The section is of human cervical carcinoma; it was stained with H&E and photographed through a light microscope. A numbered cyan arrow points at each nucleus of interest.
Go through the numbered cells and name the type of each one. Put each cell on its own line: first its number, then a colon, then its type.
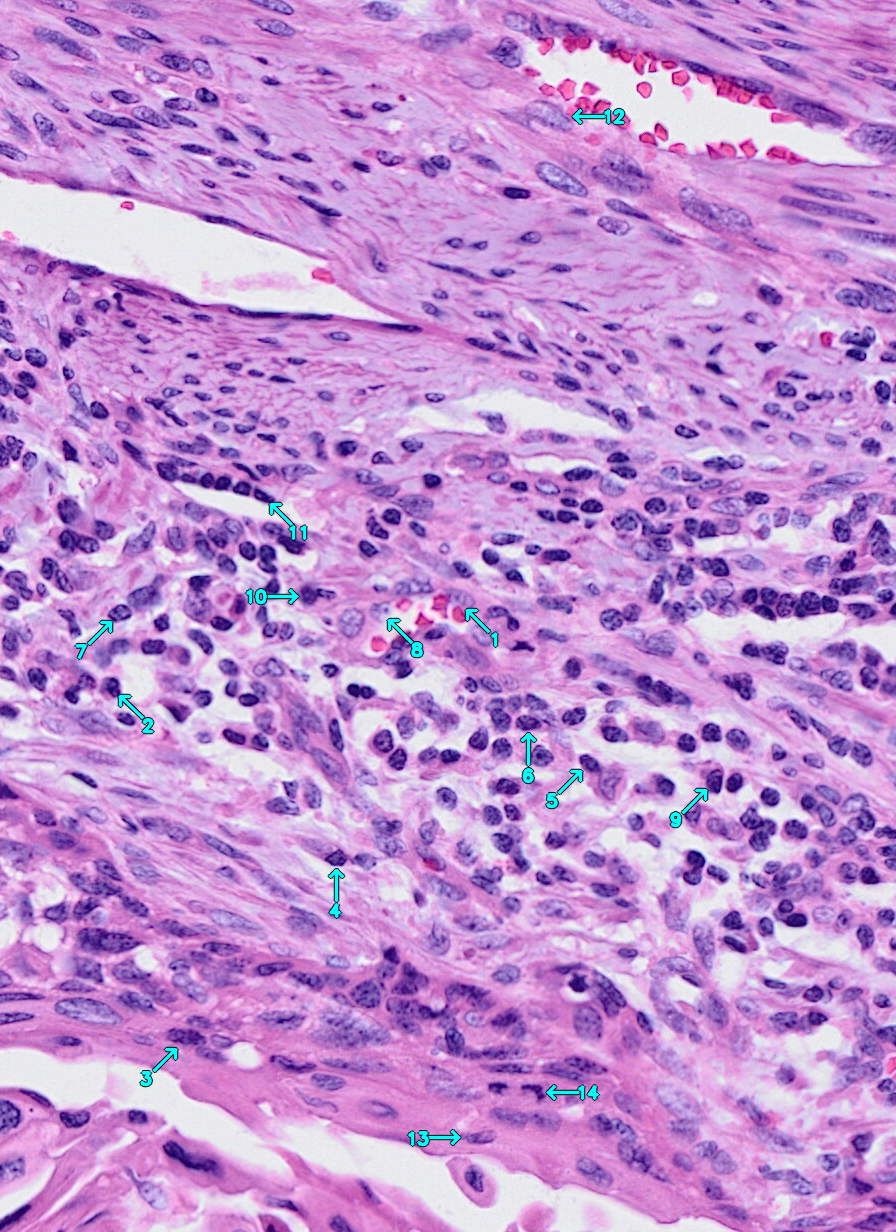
1: endothelial cell
2: lymphocyte
3: squamous carcinoma cell
4: lymphocyte
5: lymphocyte
6: lymphocyte
7: lymphocyte
8: endothelial cell
9: lymphocyte
10: lymphocyte
11: lymphocyte
12: endothelial cell
13: squamous carcinoma cell
14: squamous carcinoma cell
